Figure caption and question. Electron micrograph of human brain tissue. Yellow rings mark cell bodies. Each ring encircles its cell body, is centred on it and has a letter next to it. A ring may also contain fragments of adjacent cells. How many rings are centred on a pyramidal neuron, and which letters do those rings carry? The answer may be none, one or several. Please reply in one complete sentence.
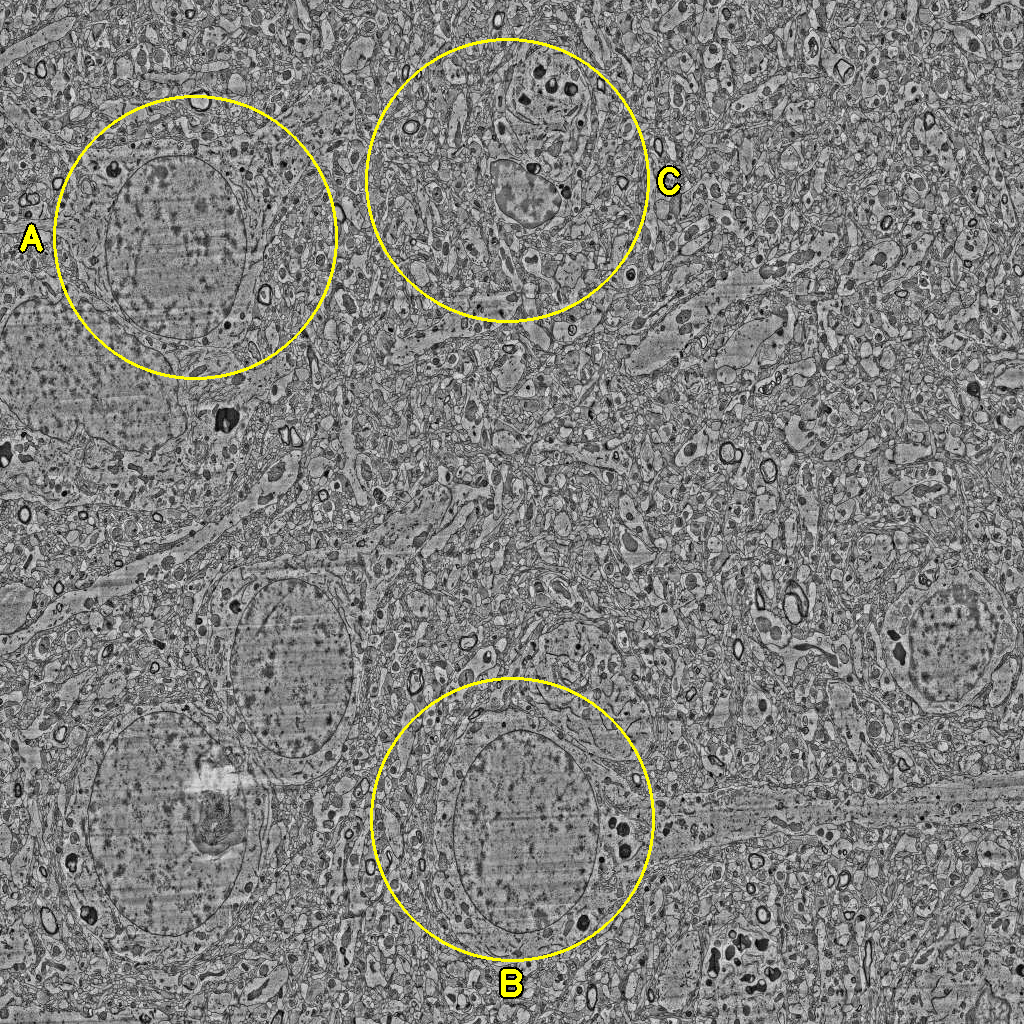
For the rings with the letters A and B, of which there are two, the centre of each is a pyramidal neuron.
